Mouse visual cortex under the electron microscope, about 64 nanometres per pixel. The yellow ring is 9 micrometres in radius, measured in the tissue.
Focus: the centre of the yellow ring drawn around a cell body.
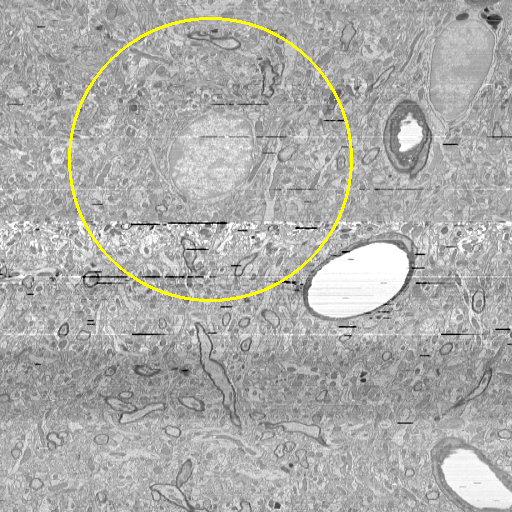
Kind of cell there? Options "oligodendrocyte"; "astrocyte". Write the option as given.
oligodendrocyte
